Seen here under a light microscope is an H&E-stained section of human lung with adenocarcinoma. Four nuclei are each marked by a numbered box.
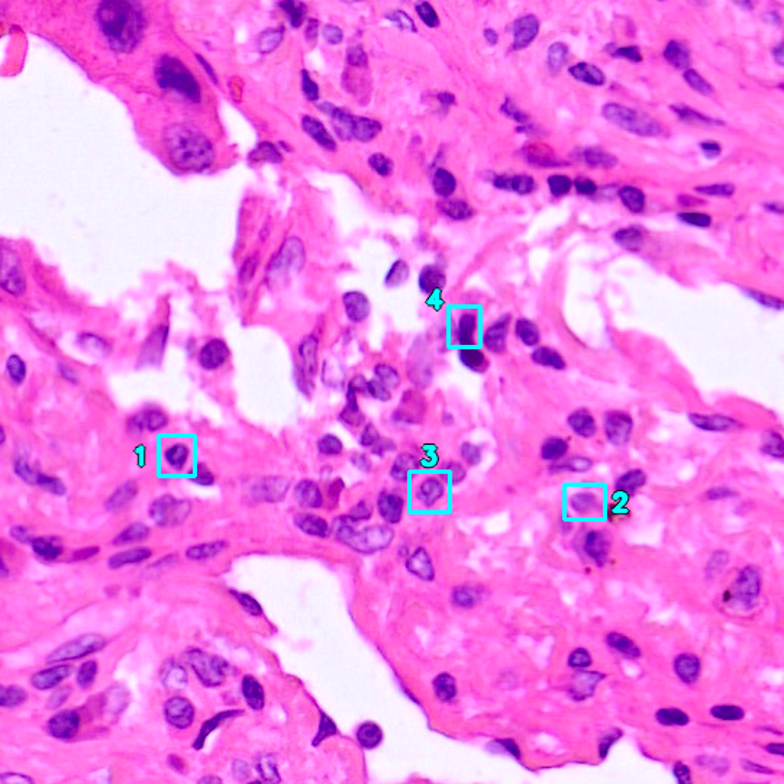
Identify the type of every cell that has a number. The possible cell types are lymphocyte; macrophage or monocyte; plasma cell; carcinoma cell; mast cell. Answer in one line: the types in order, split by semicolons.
lymphocyte; lymphocyte; lymphocyte; plasma cell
